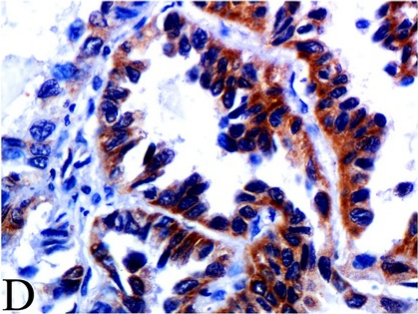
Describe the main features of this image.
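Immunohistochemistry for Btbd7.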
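Adenocarcinoma cells line gland-like spaces and branching fronds around open lumens. The cells are columnar to cuboidal, with enlarged, crowded, dark blue nuclei that are stacked in places. Their cytoplasm is intensely brown, while the nuclei stay blue. Thin strands of stroma with elongated blue nuclei separate the epithelial layers and lack brown staining. The lumens are mostly empty and pale.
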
